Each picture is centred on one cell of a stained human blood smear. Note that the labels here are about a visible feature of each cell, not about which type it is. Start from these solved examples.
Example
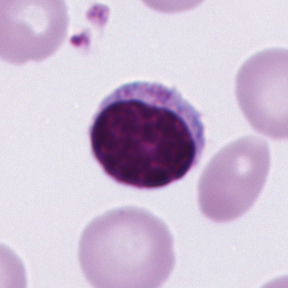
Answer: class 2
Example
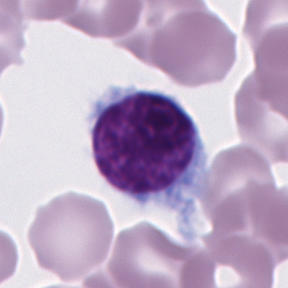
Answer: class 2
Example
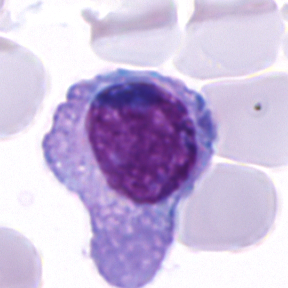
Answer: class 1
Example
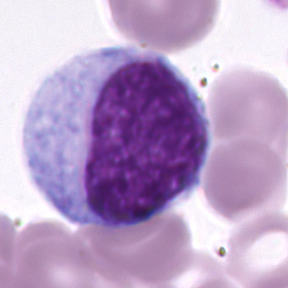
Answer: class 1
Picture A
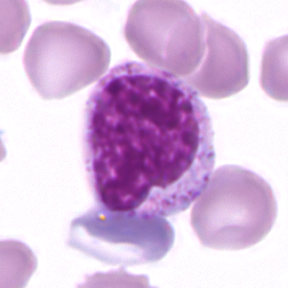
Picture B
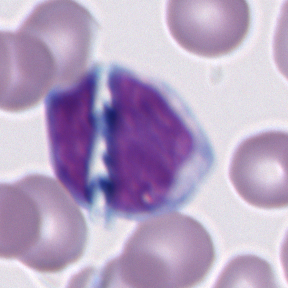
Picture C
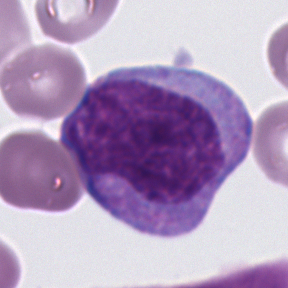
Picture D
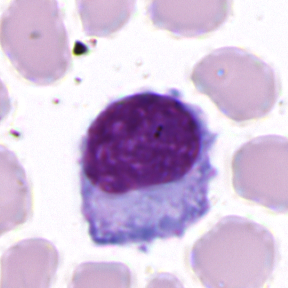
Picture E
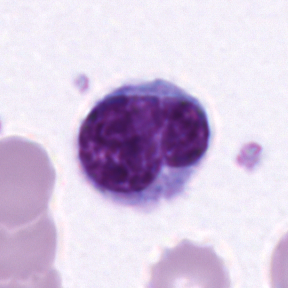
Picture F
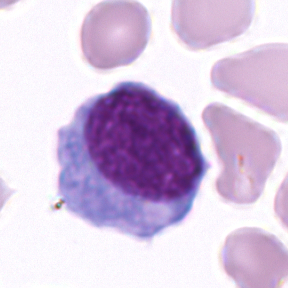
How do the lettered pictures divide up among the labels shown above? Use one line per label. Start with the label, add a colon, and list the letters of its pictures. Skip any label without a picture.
class 2: A, B, E
class 1: C, D, F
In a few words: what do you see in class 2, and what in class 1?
Seen in class 2: scant cytoplasm; seen in class 1: abundant cytoplasm.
